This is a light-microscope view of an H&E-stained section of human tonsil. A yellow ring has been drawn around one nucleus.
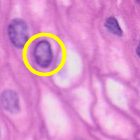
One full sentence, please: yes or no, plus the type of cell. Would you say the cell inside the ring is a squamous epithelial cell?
Yes, the naming of the cell inside the ring as a squamous epithelial cell is correct.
